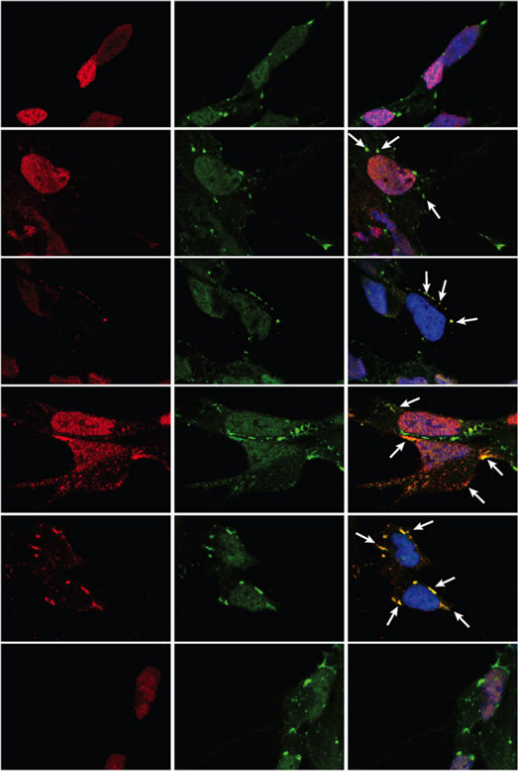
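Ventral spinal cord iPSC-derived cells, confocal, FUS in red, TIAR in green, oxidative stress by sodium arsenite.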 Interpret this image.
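Cultured cells with oval nuclei and elongated cell bodies drawn out into thin processes. In the merged images, small bright green and yellow-orange dots lie scattered through the cytoplasm around the blue nuclei and along the processes, some marked by arrows. In some cells the red signal fills the nucleus, while in others it appears mostly as dots outside a blue nucleus.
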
